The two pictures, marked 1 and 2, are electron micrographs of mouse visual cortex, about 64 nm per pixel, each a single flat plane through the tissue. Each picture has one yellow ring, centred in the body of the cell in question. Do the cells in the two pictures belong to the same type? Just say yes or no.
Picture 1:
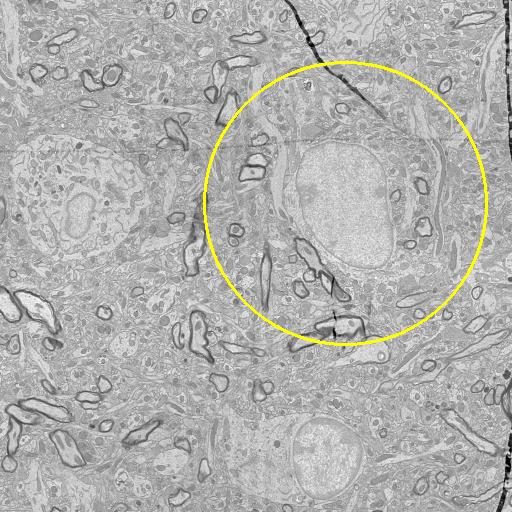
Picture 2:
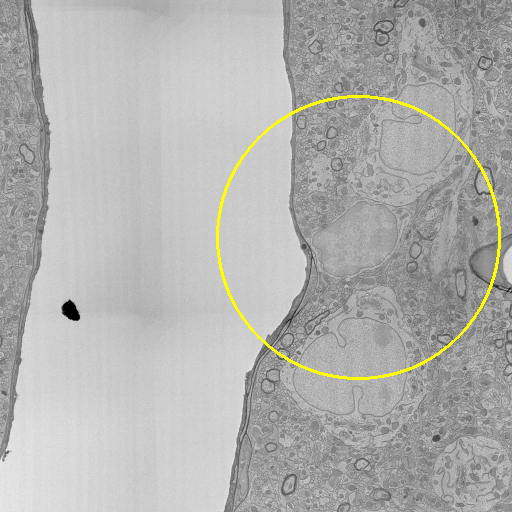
no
